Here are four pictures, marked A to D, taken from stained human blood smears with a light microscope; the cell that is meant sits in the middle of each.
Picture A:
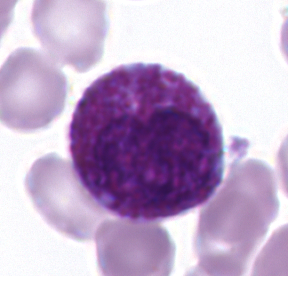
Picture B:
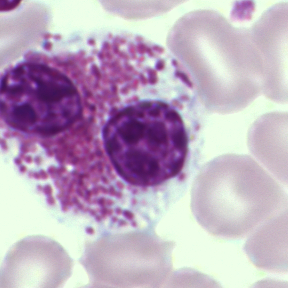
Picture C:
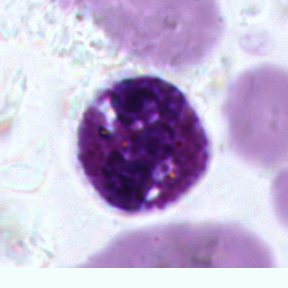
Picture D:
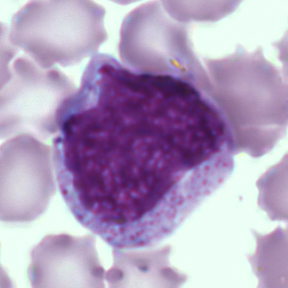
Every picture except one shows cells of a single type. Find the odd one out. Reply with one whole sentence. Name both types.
Unlike the rest, which show eosinophils, picture D shows a myelocyte.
